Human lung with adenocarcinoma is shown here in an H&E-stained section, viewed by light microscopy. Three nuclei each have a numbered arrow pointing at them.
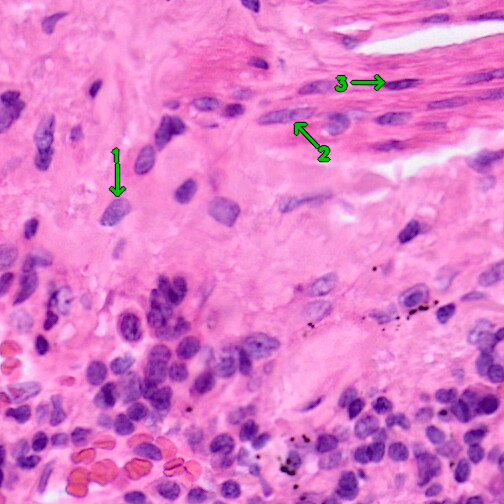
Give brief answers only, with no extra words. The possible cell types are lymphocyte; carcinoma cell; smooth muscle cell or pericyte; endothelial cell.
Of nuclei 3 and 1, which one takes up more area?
1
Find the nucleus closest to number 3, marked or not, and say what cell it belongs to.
smooth muscle cell or pericyte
